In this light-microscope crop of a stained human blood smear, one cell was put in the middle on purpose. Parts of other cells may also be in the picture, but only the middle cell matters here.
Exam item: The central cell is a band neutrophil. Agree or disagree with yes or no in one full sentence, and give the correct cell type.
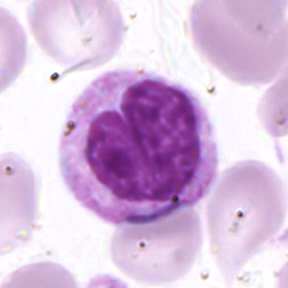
Yes, the cell found in the middle is a band neutrophil.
